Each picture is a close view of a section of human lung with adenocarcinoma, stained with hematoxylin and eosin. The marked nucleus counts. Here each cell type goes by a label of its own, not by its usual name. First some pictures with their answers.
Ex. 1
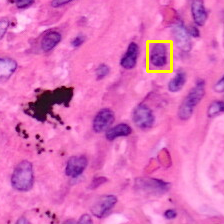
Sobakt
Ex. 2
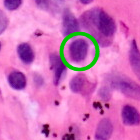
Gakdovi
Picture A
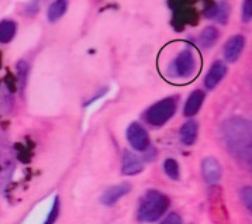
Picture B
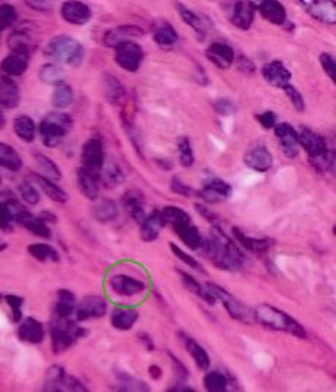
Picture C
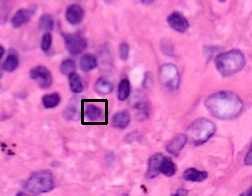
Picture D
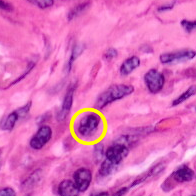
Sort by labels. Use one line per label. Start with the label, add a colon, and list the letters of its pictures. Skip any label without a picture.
Sobakt: D
Gakdovi: A, B, C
